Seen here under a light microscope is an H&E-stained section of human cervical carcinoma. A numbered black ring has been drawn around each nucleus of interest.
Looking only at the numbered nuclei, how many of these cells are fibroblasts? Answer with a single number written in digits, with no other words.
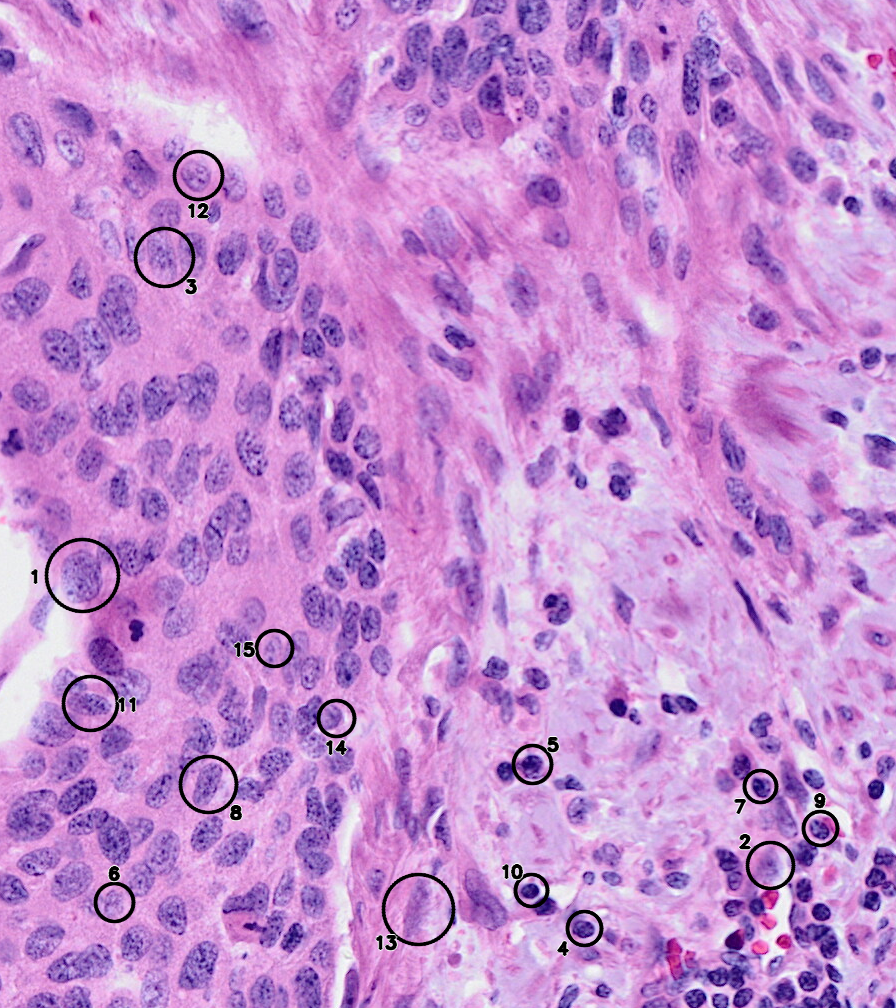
1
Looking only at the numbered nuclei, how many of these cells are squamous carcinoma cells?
8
